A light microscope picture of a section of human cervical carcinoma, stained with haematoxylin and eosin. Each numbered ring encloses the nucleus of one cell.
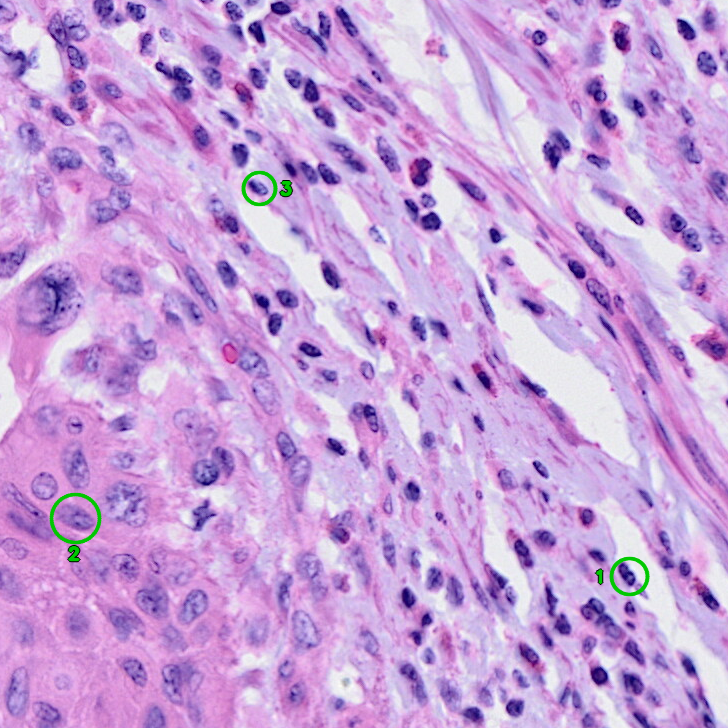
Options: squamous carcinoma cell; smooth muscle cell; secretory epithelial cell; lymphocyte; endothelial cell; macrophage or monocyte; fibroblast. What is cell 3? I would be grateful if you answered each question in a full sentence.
In this section, number 3 marks a lymphocyte.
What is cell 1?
The nucleus labelled 1 belongs to a lymphocyte.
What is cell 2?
Corresponding to a squamous carcinoma cell is the cell labelled 2.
